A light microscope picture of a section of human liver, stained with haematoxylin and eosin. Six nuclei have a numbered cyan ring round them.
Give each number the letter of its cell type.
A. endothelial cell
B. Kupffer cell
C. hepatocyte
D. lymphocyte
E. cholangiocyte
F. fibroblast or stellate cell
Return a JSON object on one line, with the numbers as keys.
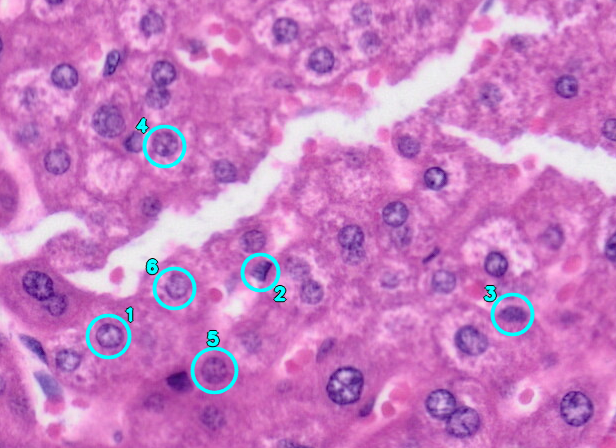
{"1": "C", "2": "F", "3": "F", "4": "C", "5": "C", "6": "C"}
